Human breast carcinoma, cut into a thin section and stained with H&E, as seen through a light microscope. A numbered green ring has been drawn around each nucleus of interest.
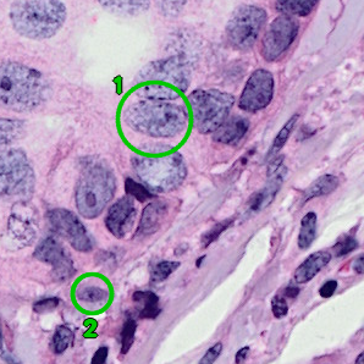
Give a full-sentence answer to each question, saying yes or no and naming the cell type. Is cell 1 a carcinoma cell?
Yes, the cell marked with number 1 is a carcinoma cell.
